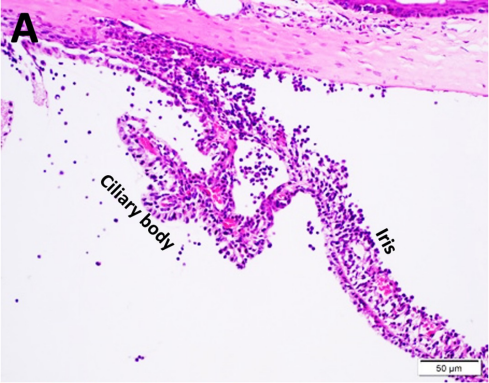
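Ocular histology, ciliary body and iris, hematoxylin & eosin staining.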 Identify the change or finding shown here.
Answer: Severe inflammatory cell infiltration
